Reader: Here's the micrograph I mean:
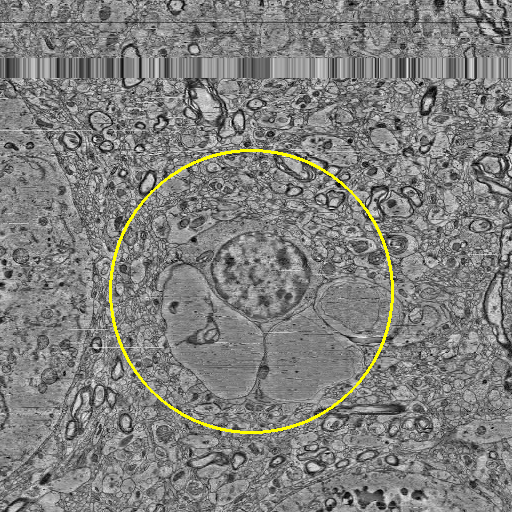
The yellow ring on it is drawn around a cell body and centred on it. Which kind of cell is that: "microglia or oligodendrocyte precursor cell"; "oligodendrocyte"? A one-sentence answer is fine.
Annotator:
The ring is centred on an oligodendrocyte.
